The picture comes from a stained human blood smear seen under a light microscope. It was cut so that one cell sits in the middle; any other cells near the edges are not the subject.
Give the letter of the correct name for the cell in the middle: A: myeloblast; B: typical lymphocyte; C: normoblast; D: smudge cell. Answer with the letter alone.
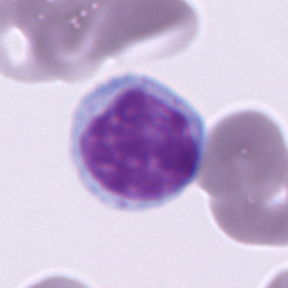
B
